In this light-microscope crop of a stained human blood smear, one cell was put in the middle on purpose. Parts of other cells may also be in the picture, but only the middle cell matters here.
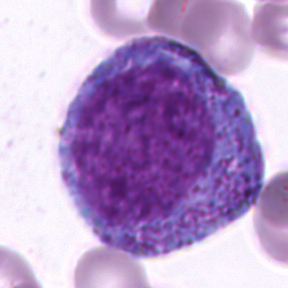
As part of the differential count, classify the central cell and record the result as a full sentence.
The cell at the middle of the frame should be recorded as a promyelocyte.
